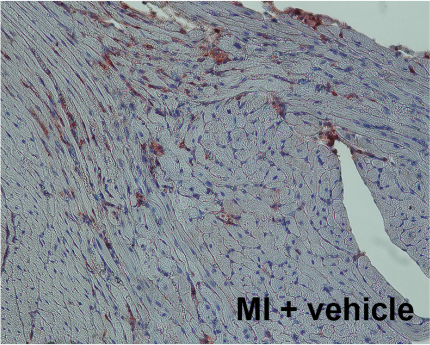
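This is heart muscle in which small inflammatory cells have infiltrated between the cardiac muscle fibres. The myocytes run as long pale pink-grey fibres in bundles of changing direction, some cut lengthwise and some across, with elongated blue nuclei spaced along them.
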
